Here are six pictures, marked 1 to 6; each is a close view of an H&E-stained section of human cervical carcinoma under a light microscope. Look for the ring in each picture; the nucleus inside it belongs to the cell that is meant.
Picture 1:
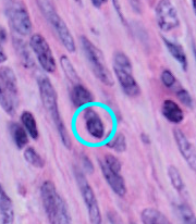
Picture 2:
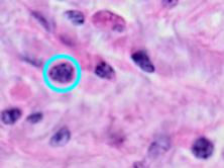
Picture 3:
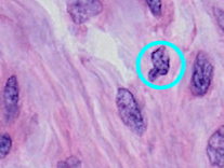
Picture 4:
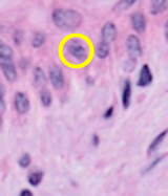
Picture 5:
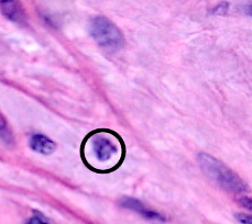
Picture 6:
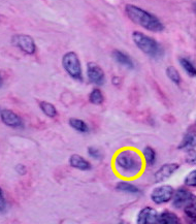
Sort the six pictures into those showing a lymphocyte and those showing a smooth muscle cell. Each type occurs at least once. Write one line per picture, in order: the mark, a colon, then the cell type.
1: lymphocyte
2: lymphocyte
3: lymphocyte
4: smooth muscle cell
5: lymphocyte
6: smooth muscle cell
